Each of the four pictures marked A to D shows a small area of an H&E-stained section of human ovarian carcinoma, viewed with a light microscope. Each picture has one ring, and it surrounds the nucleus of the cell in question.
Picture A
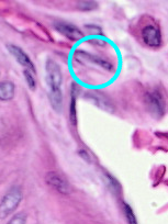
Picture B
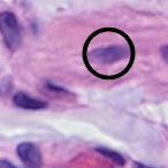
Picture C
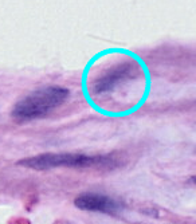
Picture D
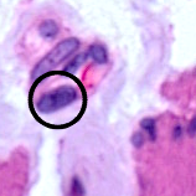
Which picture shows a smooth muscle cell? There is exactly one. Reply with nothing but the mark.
B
